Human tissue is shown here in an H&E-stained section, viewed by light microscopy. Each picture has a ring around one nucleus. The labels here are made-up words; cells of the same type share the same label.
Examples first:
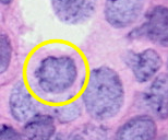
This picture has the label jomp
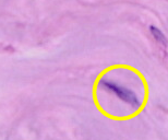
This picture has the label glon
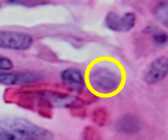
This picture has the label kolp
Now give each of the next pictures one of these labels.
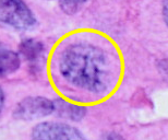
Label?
jomp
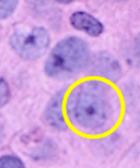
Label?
jomp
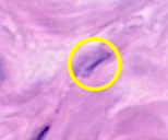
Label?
glon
